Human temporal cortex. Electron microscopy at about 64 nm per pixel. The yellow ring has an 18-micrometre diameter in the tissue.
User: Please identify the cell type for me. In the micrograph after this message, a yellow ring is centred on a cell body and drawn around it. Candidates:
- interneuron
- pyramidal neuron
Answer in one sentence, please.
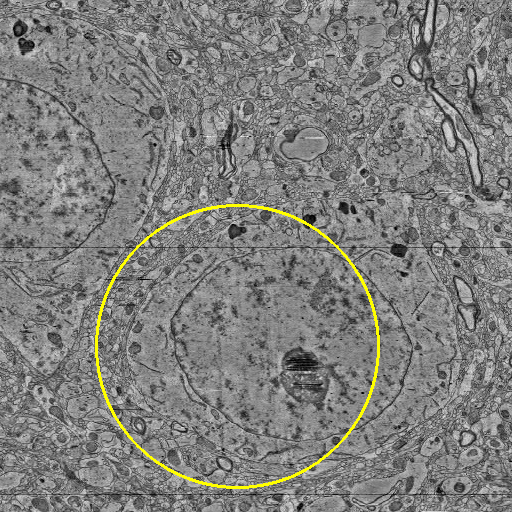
The ring is drawn around the cell body of a pyramidal neuron.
